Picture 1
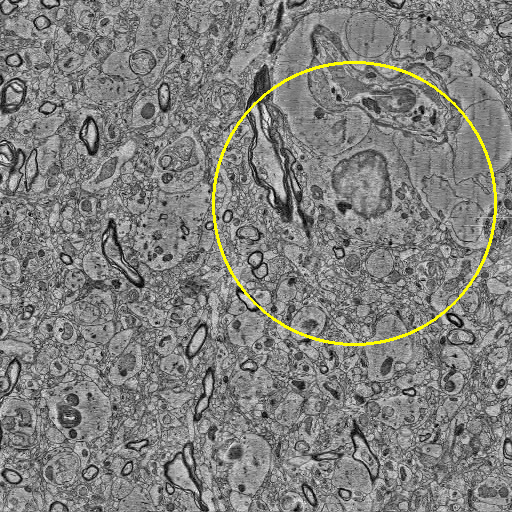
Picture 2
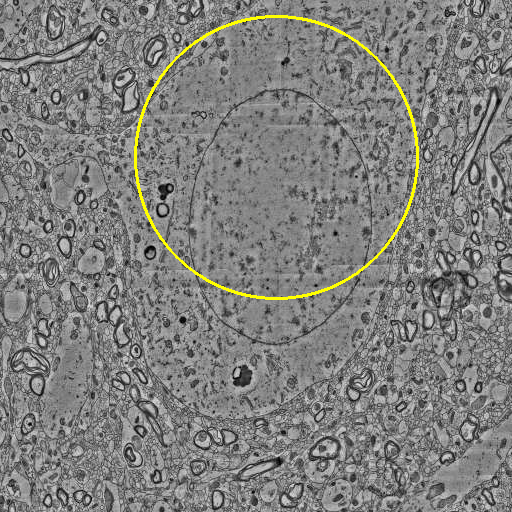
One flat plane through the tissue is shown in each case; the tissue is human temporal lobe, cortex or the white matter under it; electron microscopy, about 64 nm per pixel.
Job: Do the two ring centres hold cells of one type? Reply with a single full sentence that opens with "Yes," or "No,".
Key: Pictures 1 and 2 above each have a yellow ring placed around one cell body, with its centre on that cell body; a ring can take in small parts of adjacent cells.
No, the cells at the two ring centres are of two separate types.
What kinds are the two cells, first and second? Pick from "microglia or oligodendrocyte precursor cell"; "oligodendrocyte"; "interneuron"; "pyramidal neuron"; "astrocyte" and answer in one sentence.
The second picture holds a pyramidal neuron in its ring, and the first holds an oligodendrocyte.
